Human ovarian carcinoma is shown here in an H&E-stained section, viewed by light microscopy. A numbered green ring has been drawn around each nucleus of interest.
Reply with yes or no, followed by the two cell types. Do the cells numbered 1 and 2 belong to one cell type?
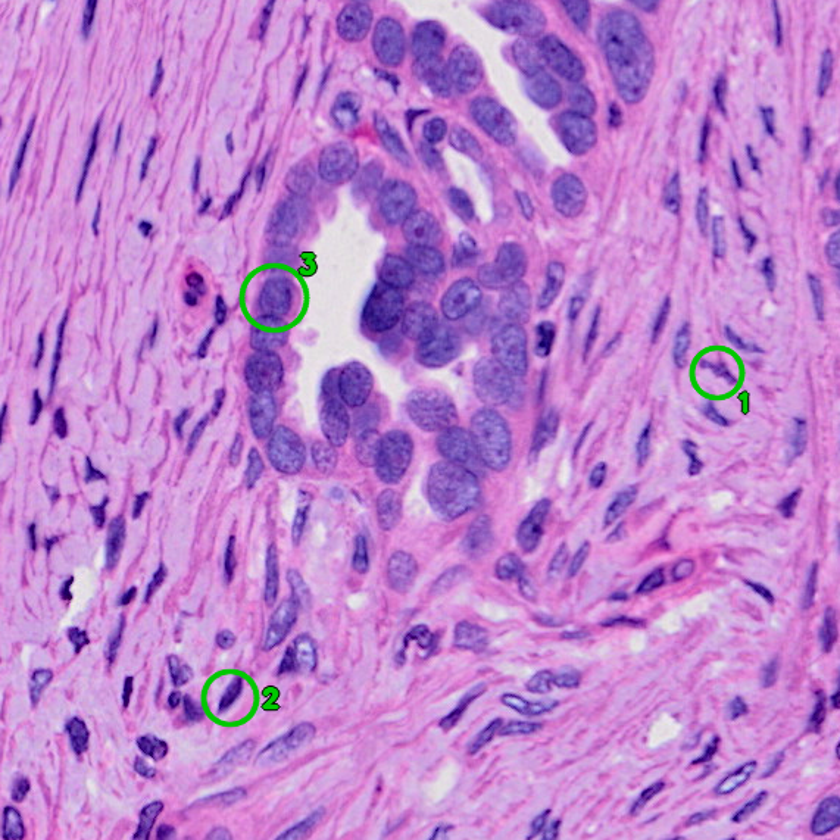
Yes, for cells 1 and 2 alike, the identity is that of fibroblasts.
